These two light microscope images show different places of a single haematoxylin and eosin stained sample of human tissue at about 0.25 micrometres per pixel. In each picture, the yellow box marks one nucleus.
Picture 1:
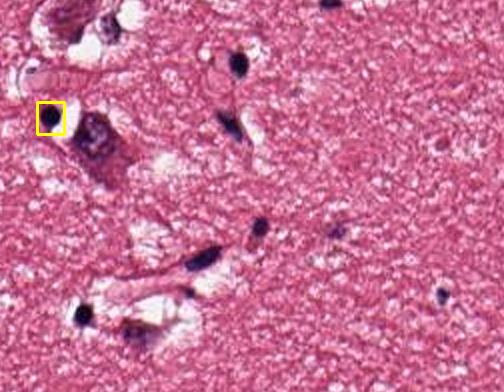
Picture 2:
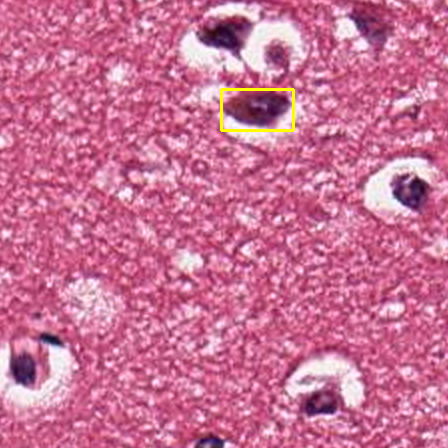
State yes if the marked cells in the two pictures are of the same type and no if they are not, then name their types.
No, the first is an oligodendrocyte and the second a neuron.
